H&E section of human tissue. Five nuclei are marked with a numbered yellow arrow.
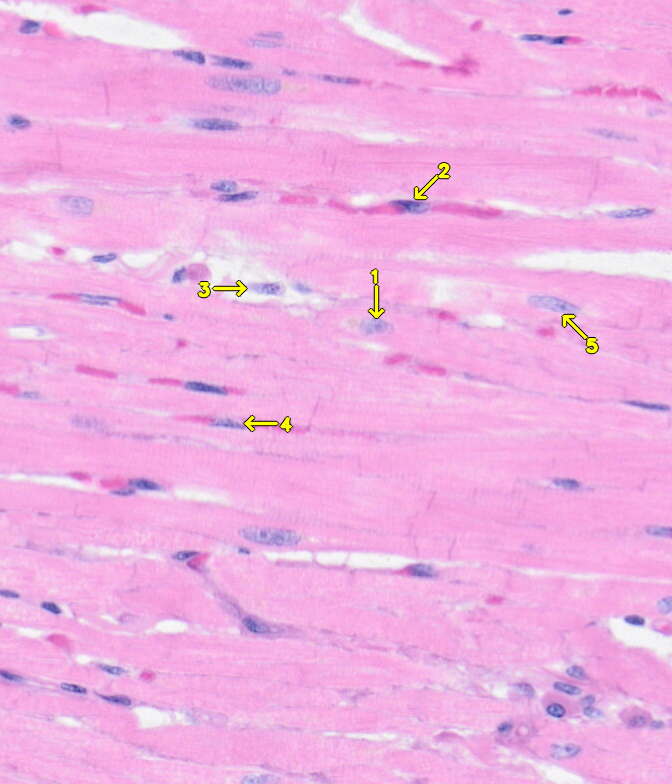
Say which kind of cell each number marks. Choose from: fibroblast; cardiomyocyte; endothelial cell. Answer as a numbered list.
1. cardiomyocyte
2. endothelial cell
3. fibroblast
4. endothelial cell
5. cardiomyocyte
